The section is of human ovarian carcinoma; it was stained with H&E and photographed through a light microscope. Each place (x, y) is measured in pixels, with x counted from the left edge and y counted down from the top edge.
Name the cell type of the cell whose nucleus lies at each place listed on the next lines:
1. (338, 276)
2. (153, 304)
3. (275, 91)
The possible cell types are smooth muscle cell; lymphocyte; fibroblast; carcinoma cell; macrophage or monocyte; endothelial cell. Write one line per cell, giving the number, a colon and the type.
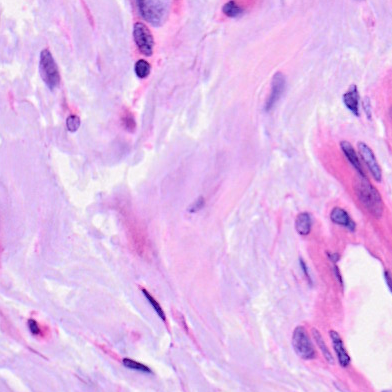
1: endothelial cell
2: fibroblast
3: fibroblast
